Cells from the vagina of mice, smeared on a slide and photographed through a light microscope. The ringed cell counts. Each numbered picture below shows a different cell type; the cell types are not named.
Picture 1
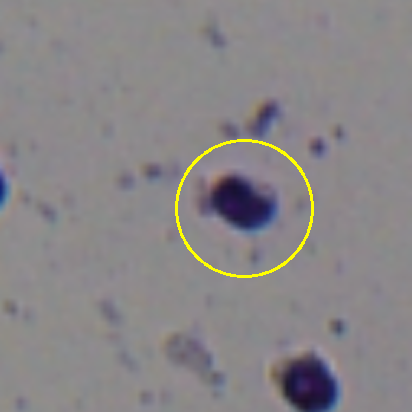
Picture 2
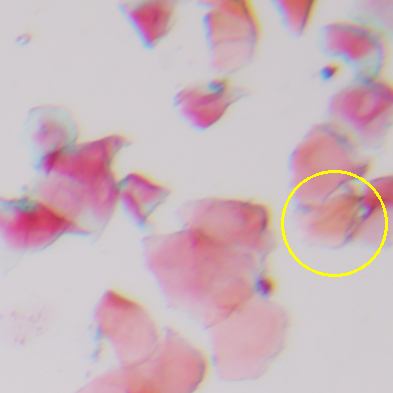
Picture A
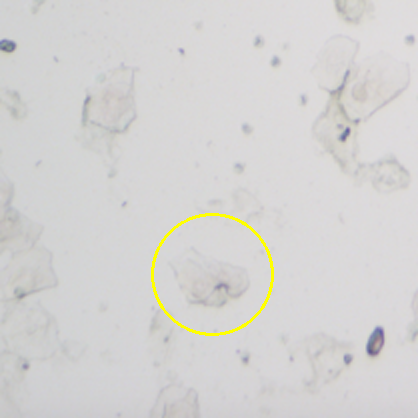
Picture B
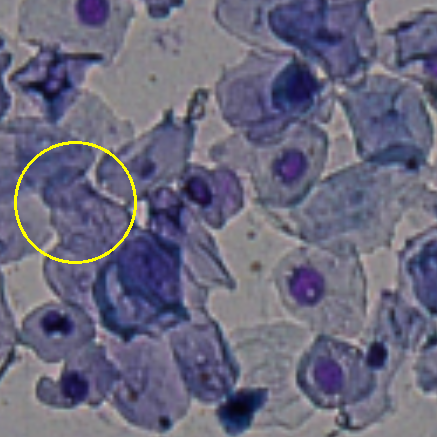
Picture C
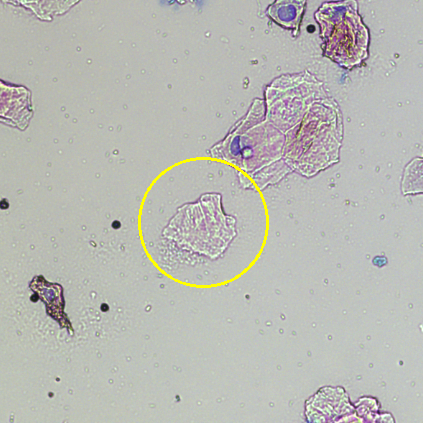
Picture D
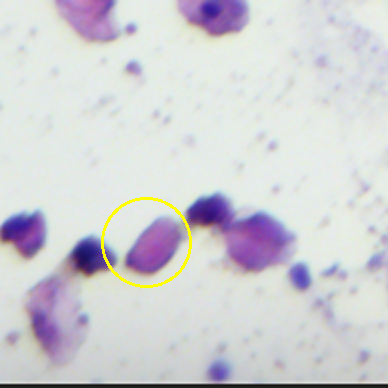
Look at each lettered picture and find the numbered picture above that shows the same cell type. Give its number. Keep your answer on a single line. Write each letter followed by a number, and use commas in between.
A 2, B 2, C 2, D 2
